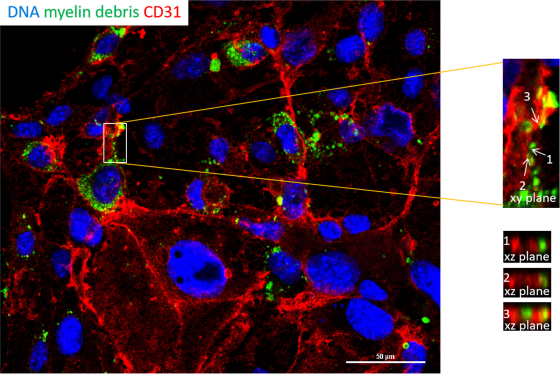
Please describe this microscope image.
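Green granules and clumps of various sizes lie against the red borders and inside the cytoplasm of many cells, often gathered around the nuclei. The enlarged strip and its side views follow single green particles from beside the red border to within it.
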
